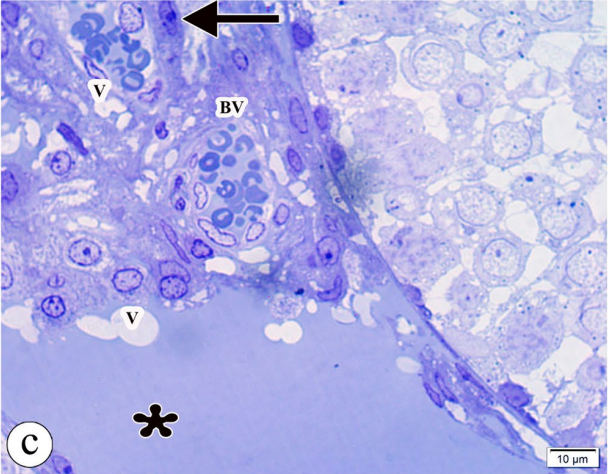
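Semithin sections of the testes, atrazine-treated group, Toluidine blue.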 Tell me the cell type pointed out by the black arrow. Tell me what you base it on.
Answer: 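The arrow points at darkly stained cells lying between the seminiferous tubules. The cells sit beside a blood vessel in the interstitial space.
Leydig cells.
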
